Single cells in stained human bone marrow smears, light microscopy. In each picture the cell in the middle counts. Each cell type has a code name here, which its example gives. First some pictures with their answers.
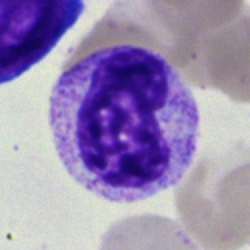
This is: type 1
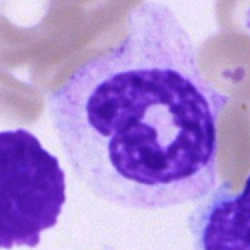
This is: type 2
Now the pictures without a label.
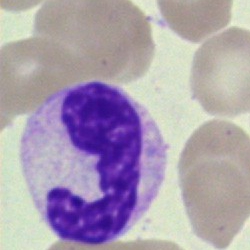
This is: type 2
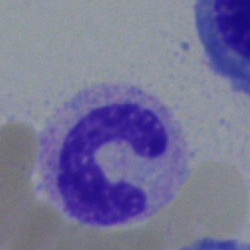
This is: type 2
